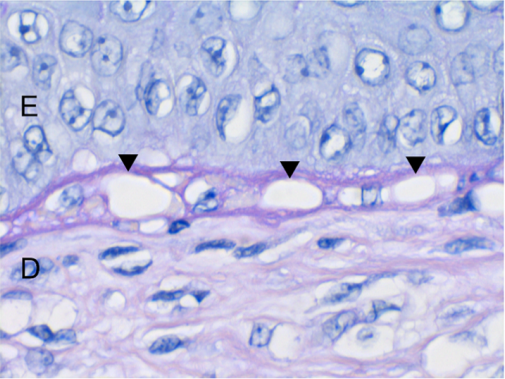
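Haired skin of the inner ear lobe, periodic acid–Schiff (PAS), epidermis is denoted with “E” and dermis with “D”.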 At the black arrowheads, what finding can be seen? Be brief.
Small vacuoles.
